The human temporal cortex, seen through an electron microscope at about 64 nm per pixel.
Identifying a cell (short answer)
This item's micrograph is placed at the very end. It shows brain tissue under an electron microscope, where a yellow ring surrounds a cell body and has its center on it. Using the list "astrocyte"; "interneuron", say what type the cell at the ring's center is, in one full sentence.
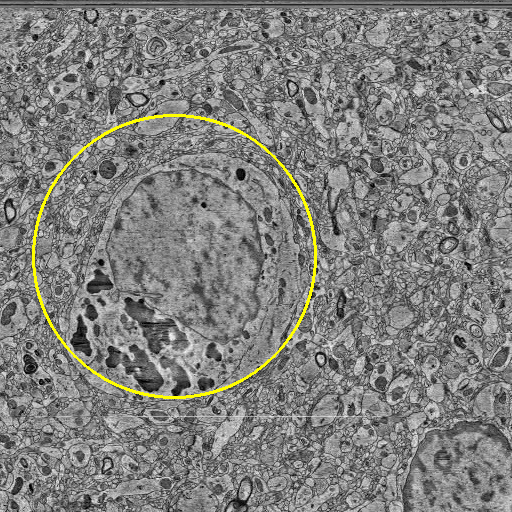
This picture shows an interneuron at the center of the yellow ring drawn on it.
